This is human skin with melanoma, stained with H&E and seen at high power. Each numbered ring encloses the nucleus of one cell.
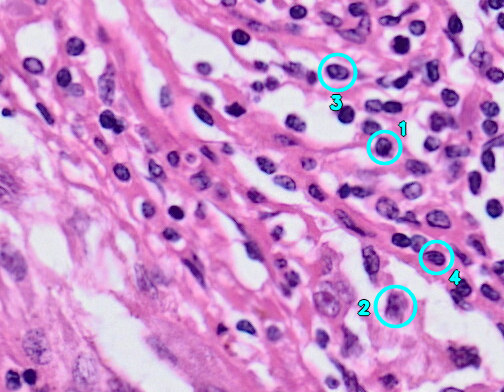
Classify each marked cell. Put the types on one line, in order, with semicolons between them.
lymphocyte; melanoma cell; lymphocyte; lymphocyte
